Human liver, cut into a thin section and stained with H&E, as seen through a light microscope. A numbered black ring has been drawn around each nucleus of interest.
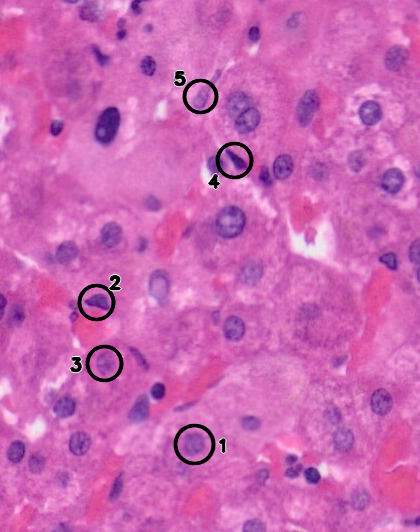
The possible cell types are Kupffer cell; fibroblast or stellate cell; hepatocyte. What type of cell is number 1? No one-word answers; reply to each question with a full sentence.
In this section, the cell tagged 1 is a hepatocyte.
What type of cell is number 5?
Classified as a Kupffer cell is the cell with the number 5.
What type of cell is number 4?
The cell referred to as 4 is a fibroblast or stellate cell.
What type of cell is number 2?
The cell referenced by the number 2 is a fibroblast or stellate cell in this field.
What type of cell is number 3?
Here, the cell given the number 3 is a hepatocyte.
